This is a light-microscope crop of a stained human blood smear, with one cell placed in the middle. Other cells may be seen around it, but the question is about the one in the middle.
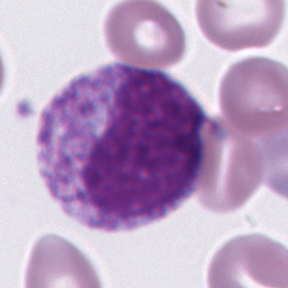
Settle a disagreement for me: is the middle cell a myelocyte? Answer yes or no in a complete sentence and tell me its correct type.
Yes, the cell that the crop is centered on is a myelocyte.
